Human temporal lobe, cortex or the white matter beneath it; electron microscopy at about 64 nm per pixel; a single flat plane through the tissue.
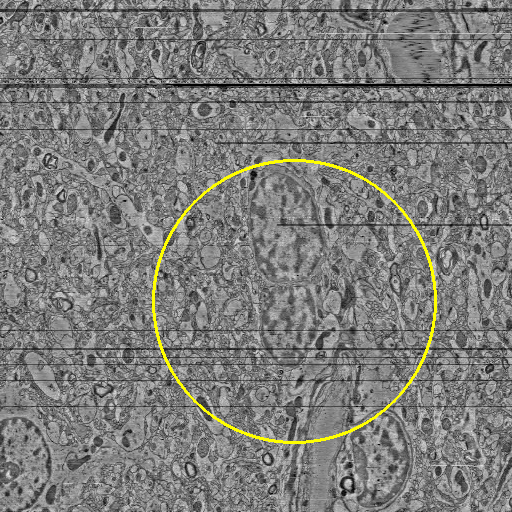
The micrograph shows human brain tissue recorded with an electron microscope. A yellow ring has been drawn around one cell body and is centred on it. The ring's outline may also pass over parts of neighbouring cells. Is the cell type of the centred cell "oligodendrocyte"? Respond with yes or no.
yes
